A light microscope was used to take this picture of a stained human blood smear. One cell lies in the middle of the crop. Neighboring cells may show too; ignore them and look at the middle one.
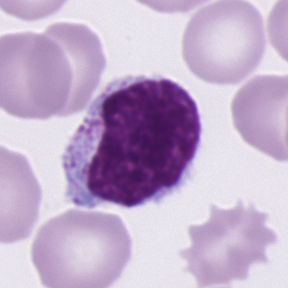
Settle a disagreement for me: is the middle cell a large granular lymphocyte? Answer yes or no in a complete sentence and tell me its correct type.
Yes, the cell found at the centre of the crop is a large granular lymphocyte.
